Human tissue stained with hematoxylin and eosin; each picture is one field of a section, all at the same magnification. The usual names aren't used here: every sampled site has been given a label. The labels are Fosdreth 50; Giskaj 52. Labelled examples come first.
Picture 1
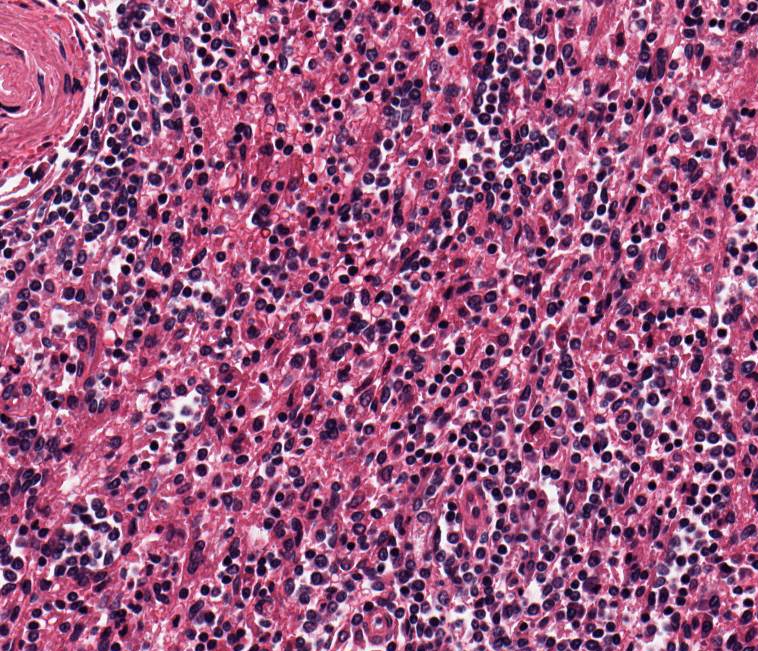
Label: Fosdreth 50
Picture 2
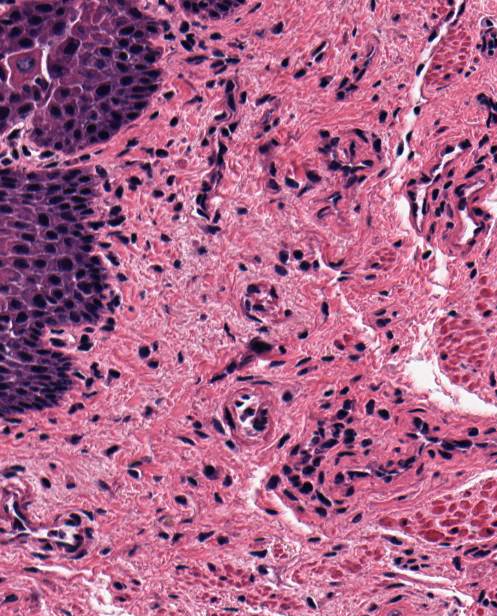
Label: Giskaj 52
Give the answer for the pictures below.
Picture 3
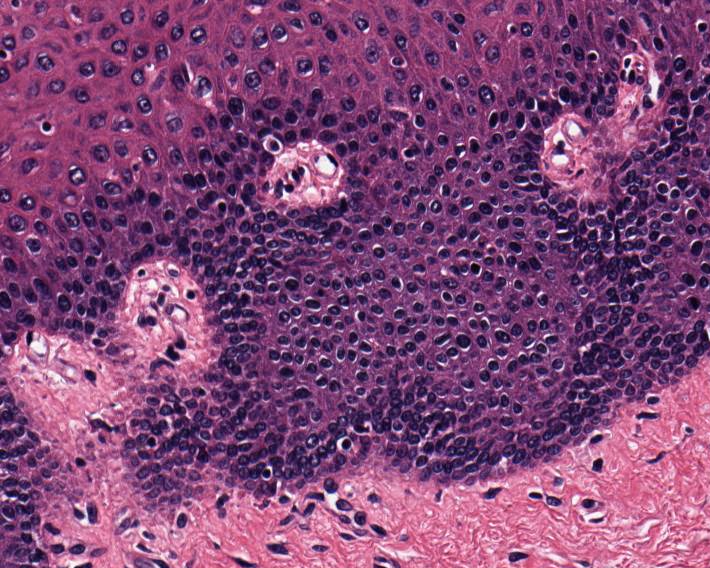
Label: Giskaj 52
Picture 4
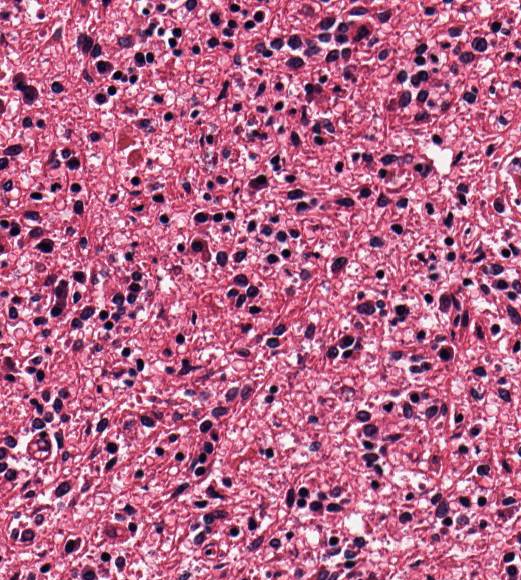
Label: Fosdreth 50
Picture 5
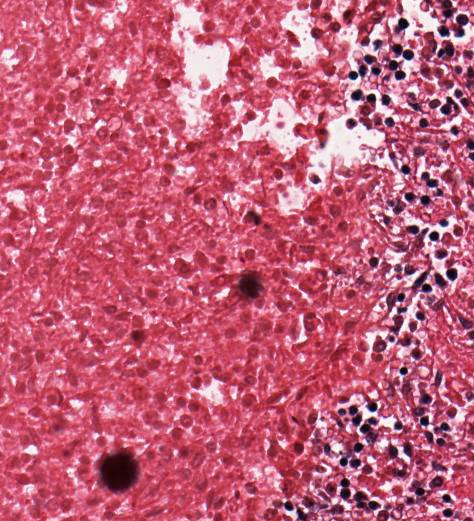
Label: Fosdreth 50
